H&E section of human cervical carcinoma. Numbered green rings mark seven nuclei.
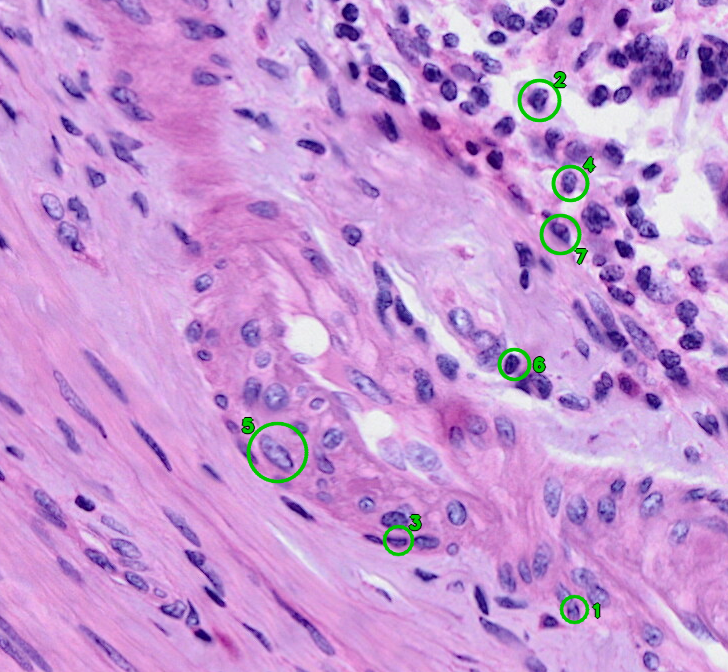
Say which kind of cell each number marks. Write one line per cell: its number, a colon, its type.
1: smooth muscle cell
2: lymphocyte
3: smooth muscle cell
4: lymphocyte
5: smooth muscle cell
6: lymphocyte
7: lymphocyte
